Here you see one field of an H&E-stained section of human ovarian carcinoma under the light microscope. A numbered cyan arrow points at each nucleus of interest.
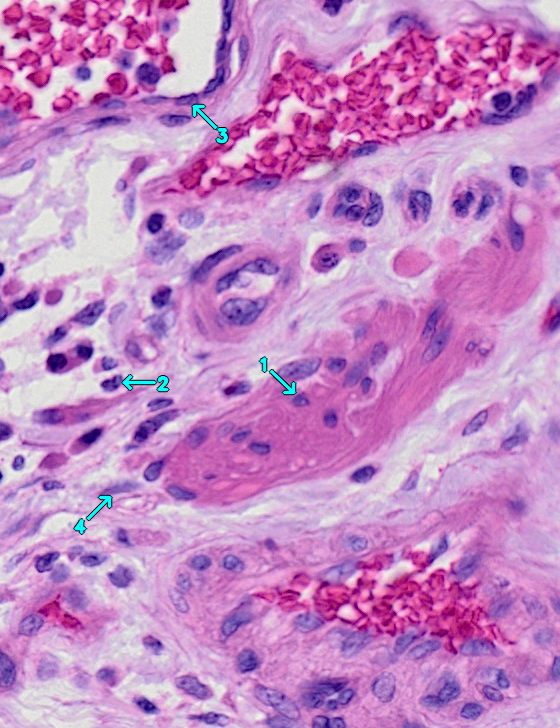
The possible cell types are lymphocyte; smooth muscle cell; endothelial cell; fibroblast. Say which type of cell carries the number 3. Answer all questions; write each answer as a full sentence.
Cell number 3 in this section is an endothelial cell.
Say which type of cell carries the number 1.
The nucleus with number 1 is that of a smooth muscle cell.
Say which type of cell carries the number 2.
Cell 2 should be recorded as a lymphocyte.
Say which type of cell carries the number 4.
The cell that carries the label 4 is a fibroblast.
